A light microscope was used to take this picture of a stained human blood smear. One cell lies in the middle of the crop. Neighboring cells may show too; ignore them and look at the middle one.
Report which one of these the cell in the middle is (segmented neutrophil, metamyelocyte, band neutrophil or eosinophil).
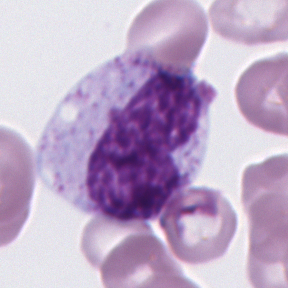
metamyelocyte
